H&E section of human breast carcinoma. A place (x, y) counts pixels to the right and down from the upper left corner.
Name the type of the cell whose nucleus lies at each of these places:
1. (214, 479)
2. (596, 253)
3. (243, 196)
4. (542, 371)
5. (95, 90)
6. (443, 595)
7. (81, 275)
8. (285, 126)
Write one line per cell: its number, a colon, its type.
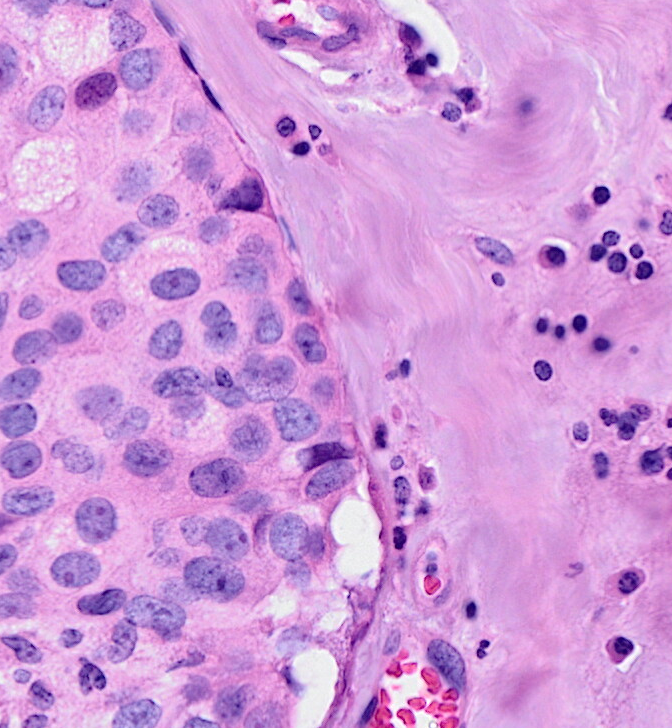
1: carcinoma cell
2: lymphocyte
3: carcinoma cell
4: lymphocyte
5: carcinoma cell
6: endothelial cell
7: carcinoma cell
8: mast cell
